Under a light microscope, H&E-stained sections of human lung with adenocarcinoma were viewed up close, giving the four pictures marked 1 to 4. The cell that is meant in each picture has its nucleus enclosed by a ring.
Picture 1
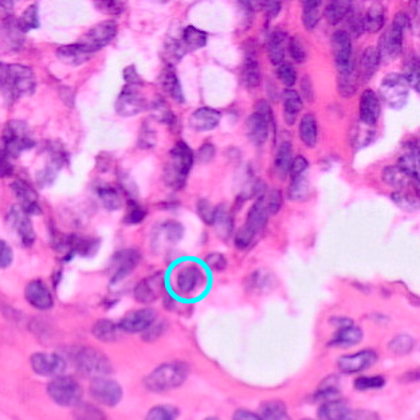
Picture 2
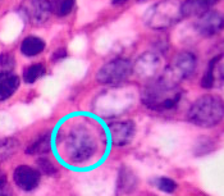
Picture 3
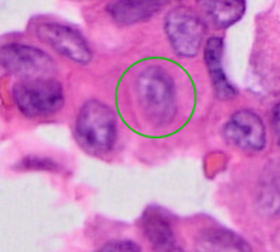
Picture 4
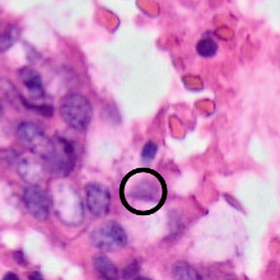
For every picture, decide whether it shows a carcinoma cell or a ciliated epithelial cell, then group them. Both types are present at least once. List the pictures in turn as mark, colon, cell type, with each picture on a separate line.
1: ciliated epithelial cell
2: ciliated epithelial cell
3: carcinoma cell
4: ciliated epithelial cell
